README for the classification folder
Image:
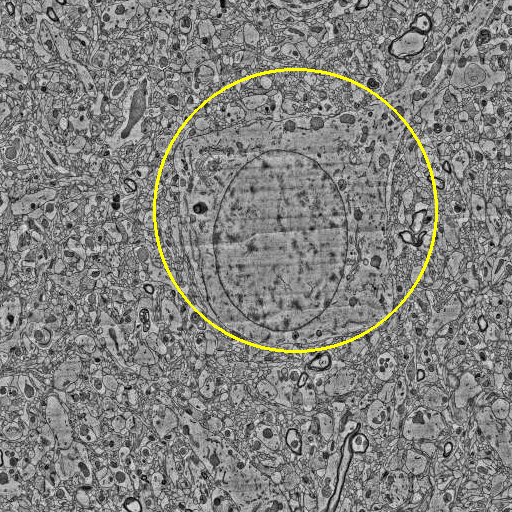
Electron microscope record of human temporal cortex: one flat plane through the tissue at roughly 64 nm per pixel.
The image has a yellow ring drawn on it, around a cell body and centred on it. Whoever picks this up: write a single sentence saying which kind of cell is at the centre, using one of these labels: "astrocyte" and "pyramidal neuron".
This cell body is that of a pyramidal neuron.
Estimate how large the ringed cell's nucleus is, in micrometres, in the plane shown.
In this plane, approximately 12 by 9 micrometers.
